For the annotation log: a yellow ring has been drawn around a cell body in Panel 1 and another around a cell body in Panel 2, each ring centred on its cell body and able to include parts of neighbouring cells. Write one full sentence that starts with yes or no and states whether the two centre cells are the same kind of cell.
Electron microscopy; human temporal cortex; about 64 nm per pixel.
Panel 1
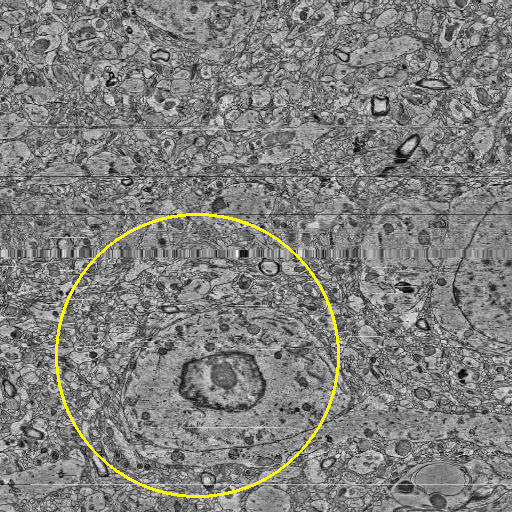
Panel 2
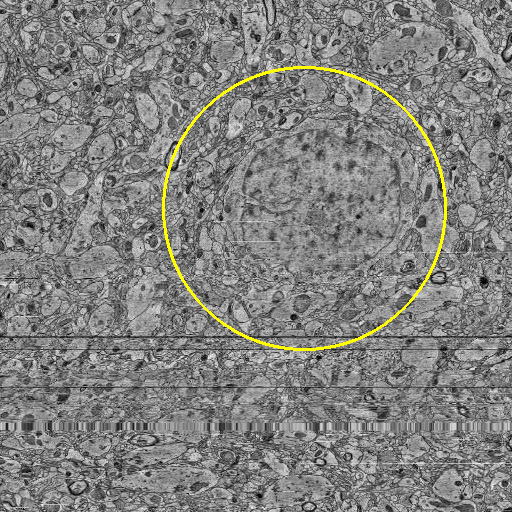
No, the two centre cells are two kinds of cell.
